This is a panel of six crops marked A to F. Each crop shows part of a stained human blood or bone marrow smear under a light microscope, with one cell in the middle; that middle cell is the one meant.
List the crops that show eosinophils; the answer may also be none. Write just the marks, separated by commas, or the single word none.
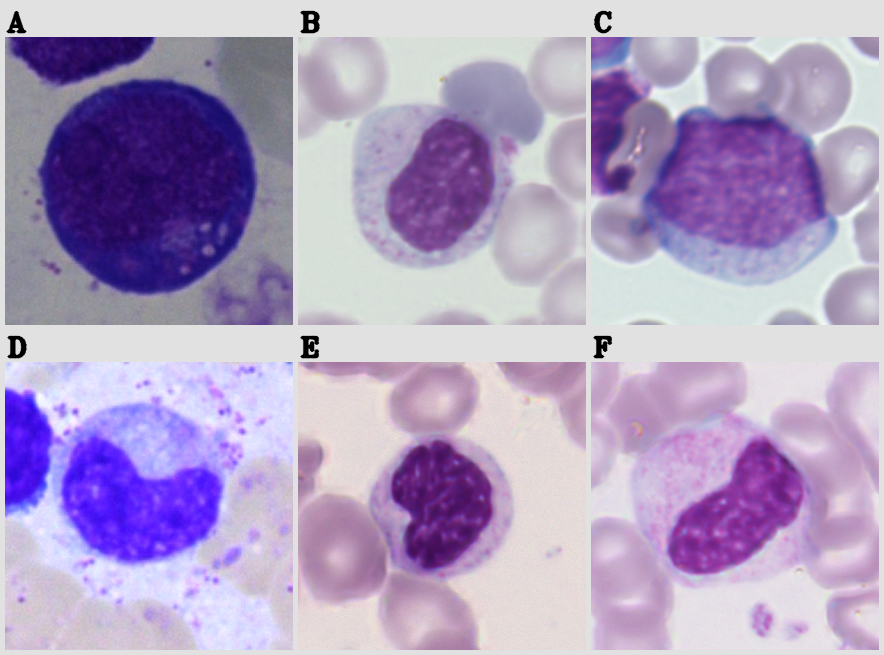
none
